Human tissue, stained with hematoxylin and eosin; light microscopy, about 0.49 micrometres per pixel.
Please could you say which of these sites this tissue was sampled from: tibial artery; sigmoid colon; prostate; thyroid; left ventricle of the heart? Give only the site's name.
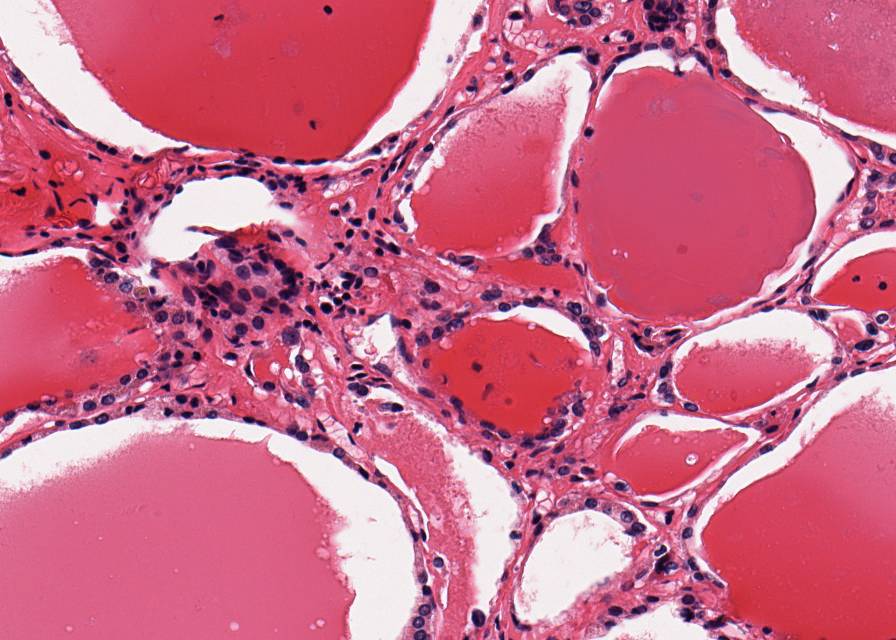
thyroid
